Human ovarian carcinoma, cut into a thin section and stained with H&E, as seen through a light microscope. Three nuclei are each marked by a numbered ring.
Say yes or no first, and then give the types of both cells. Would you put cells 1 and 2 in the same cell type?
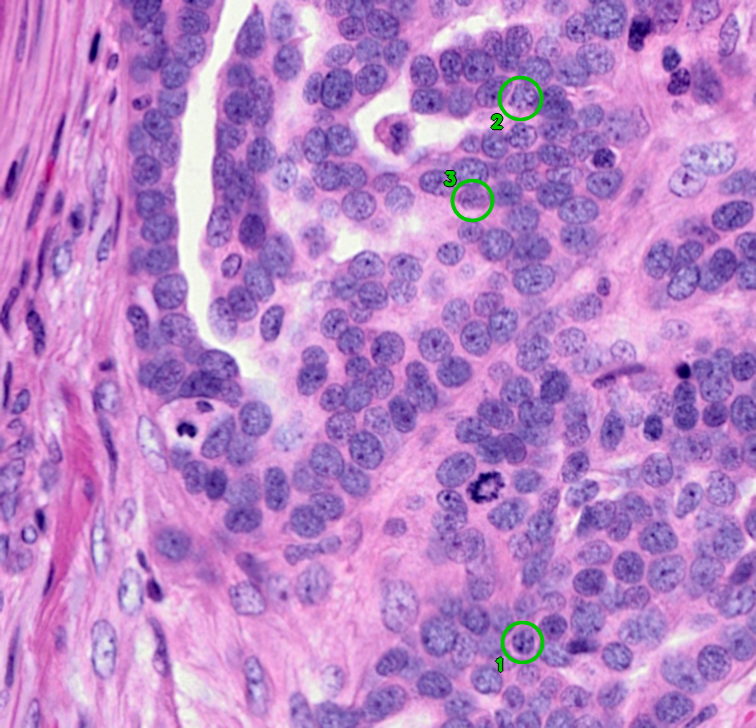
No, cell 1 is a macrophage or monocyte and cell 2 is a carcinoma cell.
